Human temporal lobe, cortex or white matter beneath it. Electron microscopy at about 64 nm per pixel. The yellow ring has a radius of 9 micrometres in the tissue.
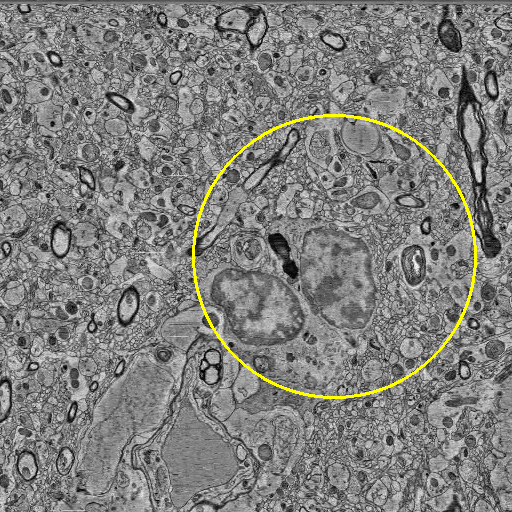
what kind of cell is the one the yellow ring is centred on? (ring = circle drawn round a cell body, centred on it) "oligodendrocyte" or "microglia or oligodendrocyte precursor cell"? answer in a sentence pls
The ring is drawn around an oligodendrocyte.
